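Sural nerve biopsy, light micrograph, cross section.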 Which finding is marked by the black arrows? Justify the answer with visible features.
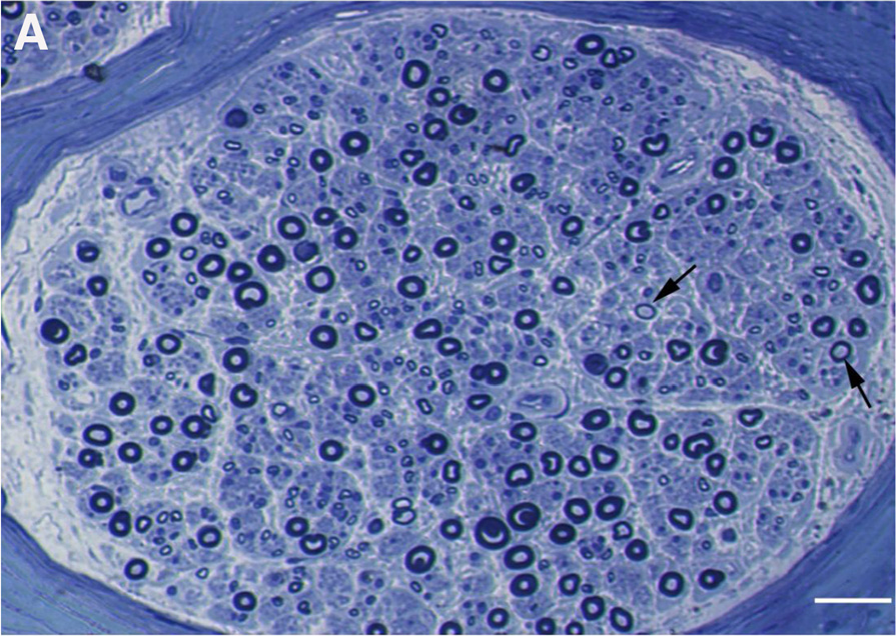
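The two fibers under the arrows have a pale axon of fair size ringed by only a thin dark band. Most other fibers of similar size have a much thicker dark ring around the axon.
Answer: abnormally thin myelin relative to axonal caliber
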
